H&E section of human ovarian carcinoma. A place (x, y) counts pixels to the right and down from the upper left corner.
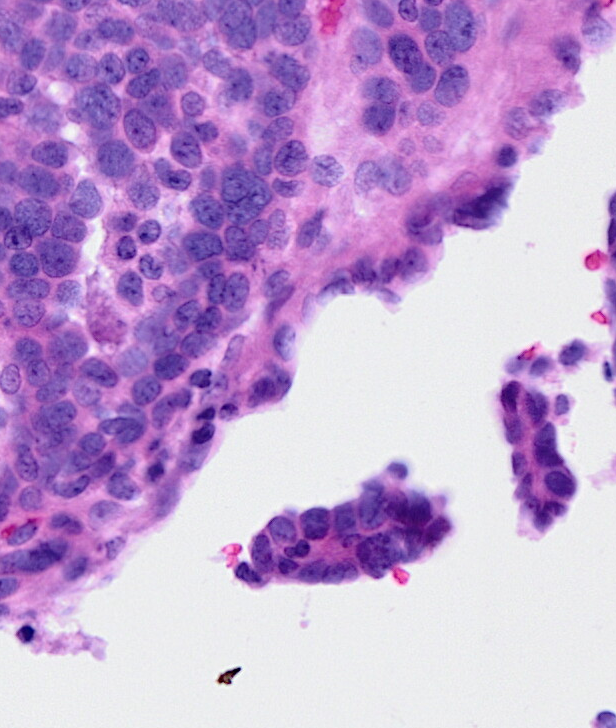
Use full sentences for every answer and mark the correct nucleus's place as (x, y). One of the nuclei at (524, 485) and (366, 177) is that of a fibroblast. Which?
Heads up, the nucleus at (366, 177) is the one that belongs to a fibroblast.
